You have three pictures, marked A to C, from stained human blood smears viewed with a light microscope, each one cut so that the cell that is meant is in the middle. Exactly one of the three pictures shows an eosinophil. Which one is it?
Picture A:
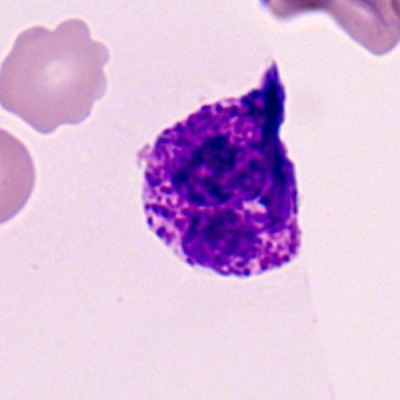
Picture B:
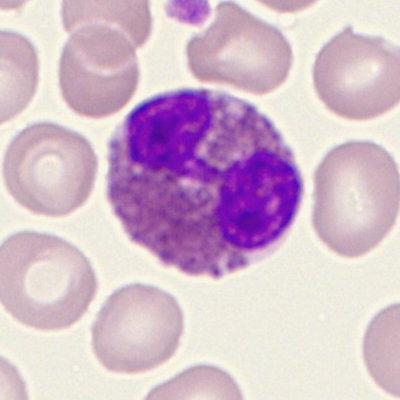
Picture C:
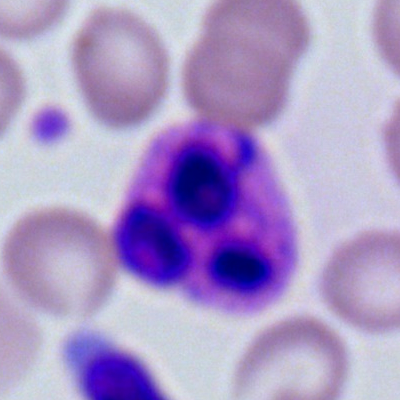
B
